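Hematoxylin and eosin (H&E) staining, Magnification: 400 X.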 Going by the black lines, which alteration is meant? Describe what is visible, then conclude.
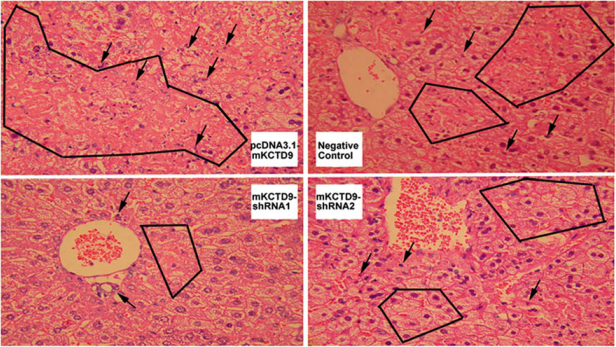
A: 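The outlined areas hold pale, loosely textured pink tissue. Within the outlines the cell borders and nuclei are less distinct than in the surrounding tissue.
Answer: liver necrosis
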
